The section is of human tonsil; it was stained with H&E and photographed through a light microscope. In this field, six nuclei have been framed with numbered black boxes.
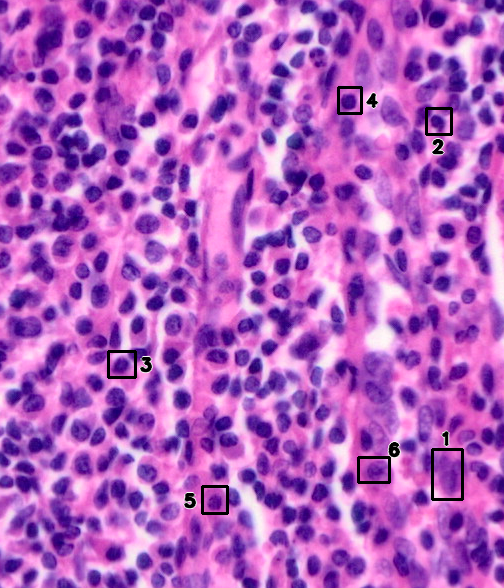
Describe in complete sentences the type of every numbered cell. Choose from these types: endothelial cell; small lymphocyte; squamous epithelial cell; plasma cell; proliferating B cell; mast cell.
Cell 1 is an endothelial cell, cell 2 is a small lymphocyte, cell 3 is a plasma cell, cell 4 is an endothelial cell, cell 5 is a plasma cell and cell 6 is an endothelial cell.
